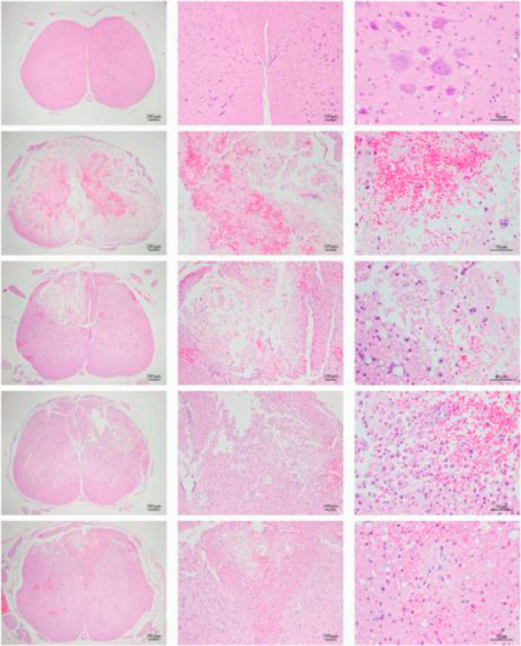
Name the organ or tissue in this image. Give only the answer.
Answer: Spinal cord tissues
